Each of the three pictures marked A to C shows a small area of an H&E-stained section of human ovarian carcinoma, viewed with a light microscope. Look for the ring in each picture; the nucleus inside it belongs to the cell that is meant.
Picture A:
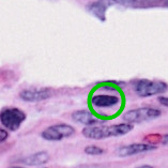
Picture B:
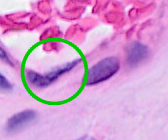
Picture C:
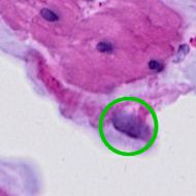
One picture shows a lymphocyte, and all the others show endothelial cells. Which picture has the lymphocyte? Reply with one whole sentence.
It is picture A that shows the lymphocyte.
